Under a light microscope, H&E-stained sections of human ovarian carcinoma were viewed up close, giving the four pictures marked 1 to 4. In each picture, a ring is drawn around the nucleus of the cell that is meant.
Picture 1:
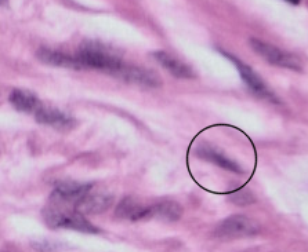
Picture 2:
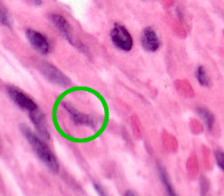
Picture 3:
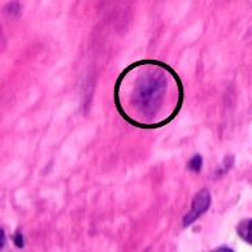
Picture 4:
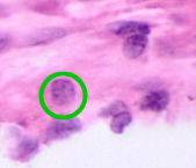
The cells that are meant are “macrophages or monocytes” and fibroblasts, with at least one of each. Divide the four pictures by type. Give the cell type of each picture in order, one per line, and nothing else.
fibroblast
fibroblast
fibroblast
macrophage or monocyte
